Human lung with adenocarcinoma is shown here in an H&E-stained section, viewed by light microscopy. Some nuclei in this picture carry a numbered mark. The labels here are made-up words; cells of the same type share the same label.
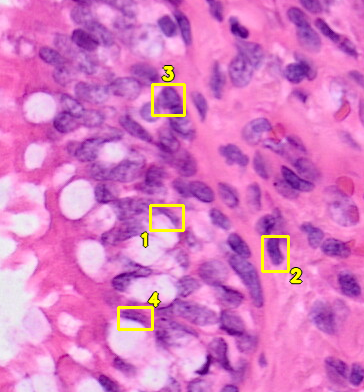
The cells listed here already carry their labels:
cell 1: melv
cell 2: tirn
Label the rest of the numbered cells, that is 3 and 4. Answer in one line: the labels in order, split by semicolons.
melv; melv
